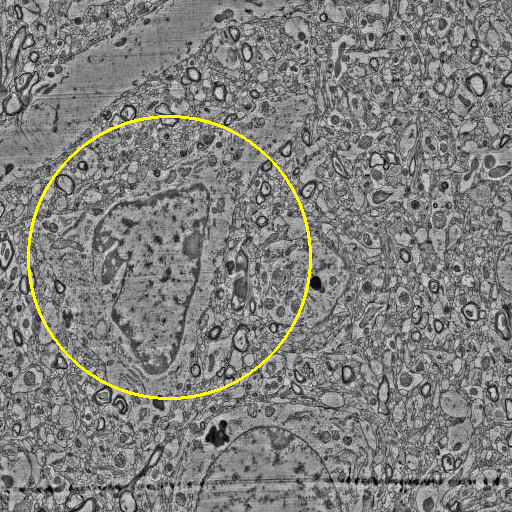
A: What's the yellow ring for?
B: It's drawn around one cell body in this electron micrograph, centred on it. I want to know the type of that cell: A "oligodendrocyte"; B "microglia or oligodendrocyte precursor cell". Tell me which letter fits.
B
